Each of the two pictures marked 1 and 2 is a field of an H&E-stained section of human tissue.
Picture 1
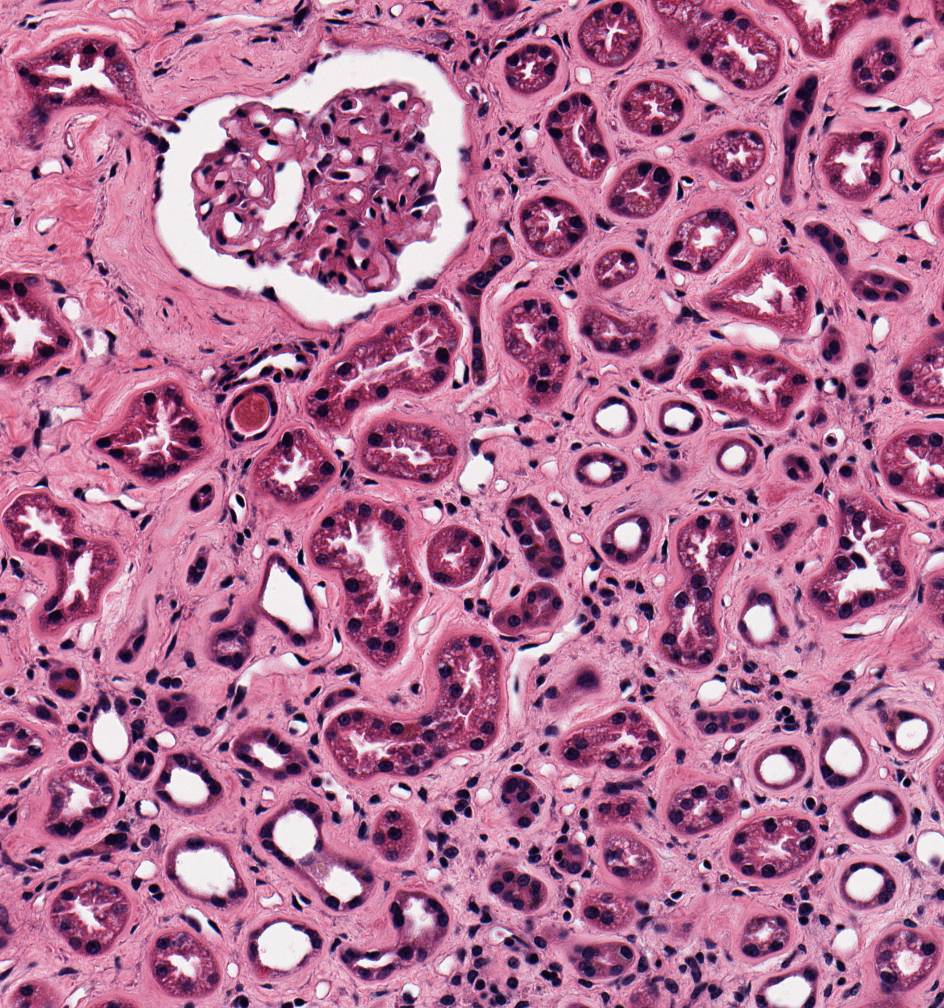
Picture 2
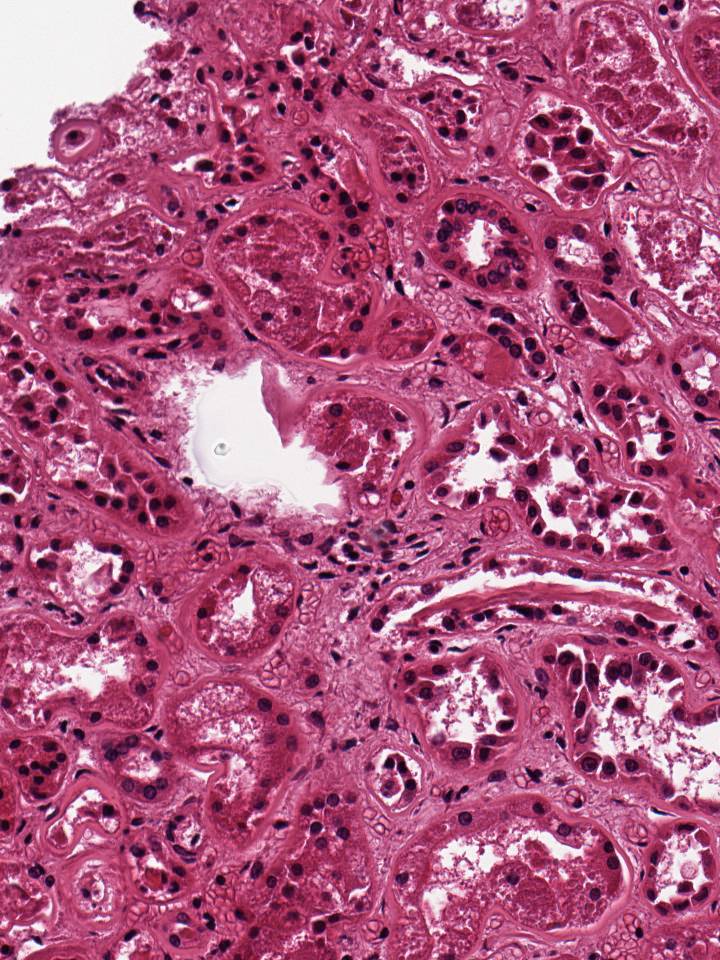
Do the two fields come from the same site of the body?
yes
